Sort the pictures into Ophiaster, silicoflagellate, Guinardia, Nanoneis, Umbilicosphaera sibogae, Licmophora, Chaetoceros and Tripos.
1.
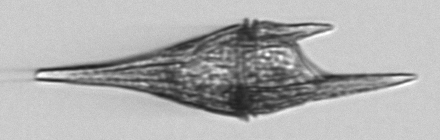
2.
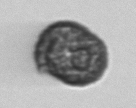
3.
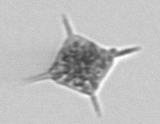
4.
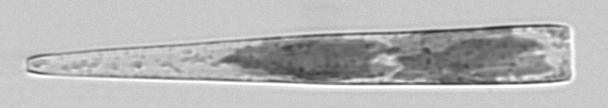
Tripos: 1
Umbilicosphaera sibogae: 2
Silicoflagellates: 3
Licmophora: 4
